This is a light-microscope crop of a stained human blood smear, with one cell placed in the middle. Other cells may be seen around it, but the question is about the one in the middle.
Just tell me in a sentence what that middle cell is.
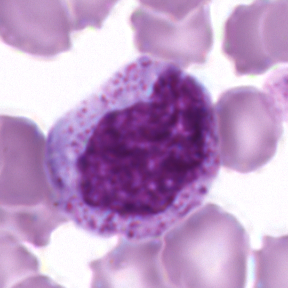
The cell around which this crop is centred is a myelocyte.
